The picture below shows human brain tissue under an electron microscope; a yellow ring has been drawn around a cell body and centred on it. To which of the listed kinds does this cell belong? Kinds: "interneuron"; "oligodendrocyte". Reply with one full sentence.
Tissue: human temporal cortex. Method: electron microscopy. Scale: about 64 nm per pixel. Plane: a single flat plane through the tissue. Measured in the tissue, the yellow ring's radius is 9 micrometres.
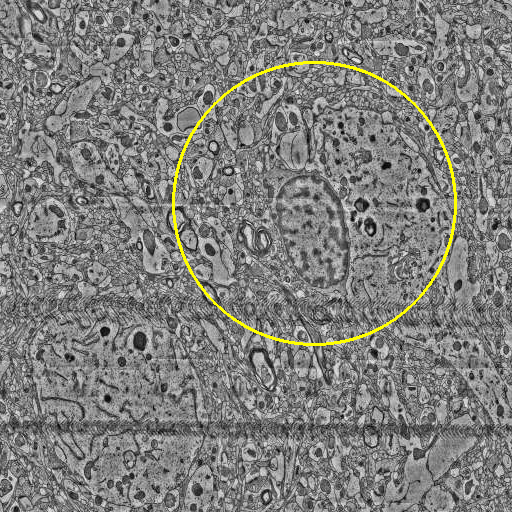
It is an oligodendrocyte that the yellow ring in the picture is centred on.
